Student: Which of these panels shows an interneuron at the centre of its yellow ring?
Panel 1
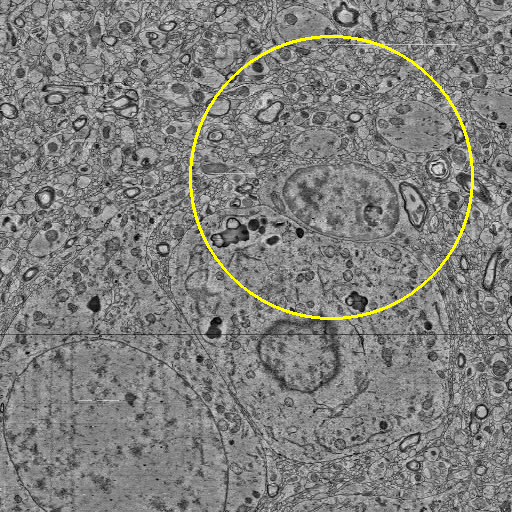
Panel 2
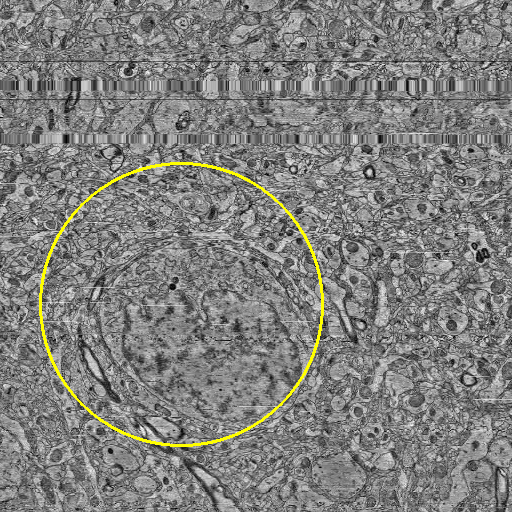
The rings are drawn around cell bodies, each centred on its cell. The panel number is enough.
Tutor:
2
